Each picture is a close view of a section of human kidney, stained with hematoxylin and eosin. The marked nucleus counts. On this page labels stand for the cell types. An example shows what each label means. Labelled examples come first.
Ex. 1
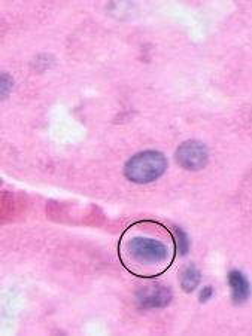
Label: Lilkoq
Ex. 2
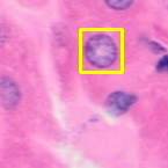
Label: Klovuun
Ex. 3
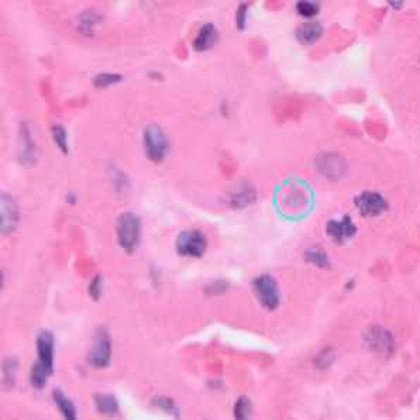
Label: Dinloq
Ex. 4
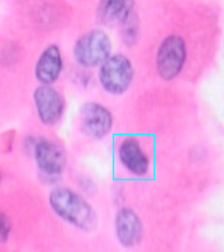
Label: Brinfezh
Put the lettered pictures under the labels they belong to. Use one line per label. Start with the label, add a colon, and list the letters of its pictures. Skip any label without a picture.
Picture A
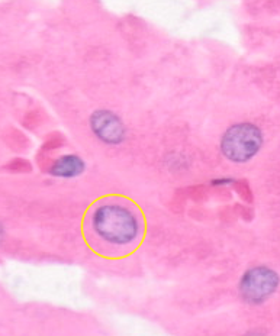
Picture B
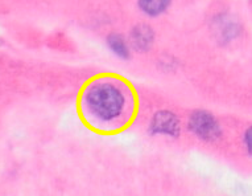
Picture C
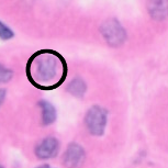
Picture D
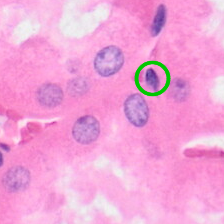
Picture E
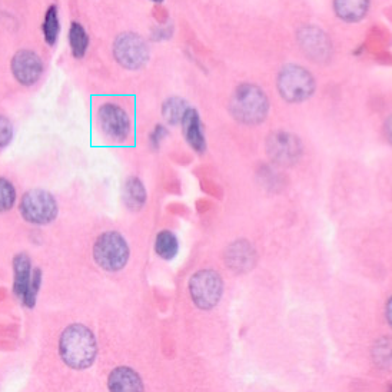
Lilkoq: D
Klovuun: A, B
Dinloq: C, E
